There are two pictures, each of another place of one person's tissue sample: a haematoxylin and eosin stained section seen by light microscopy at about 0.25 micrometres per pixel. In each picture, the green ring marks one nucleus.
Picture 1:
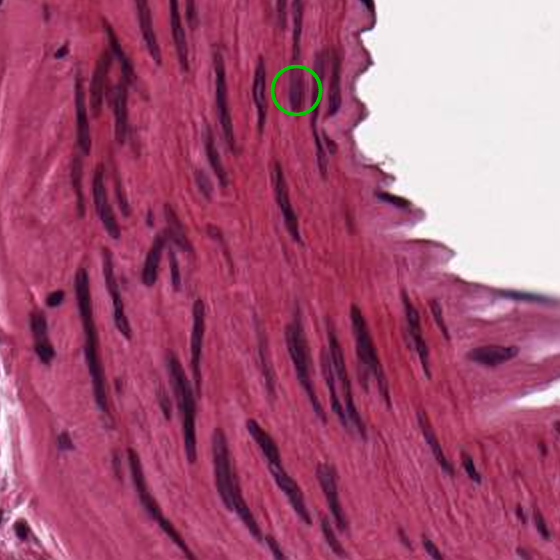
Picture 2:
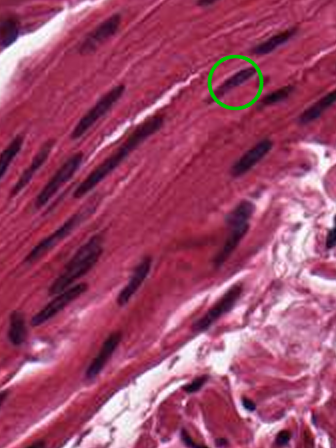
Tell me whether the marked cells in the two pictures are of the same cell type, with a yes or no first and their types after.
Yes, both are smooth muscle cells.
